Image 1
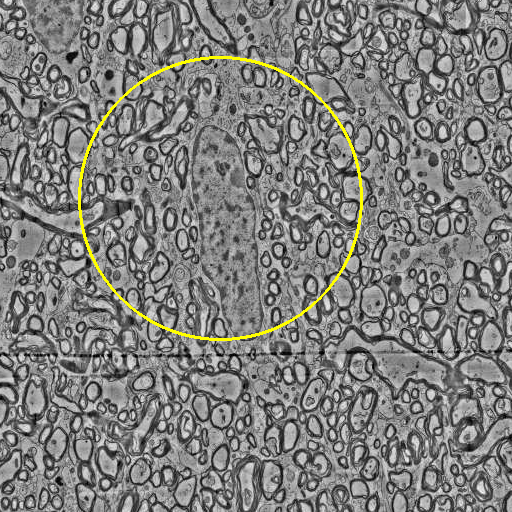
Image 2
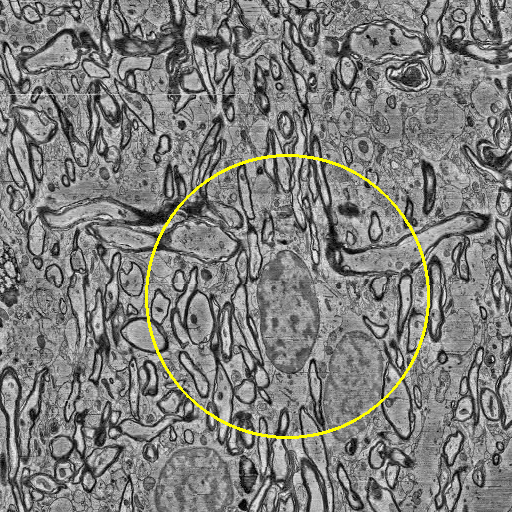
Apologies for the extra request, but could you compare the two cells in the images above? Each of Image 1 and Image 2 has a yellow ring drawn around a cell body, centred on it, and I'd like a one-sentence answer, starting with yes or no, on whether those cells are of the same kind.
Yes, both cells are of the same kind.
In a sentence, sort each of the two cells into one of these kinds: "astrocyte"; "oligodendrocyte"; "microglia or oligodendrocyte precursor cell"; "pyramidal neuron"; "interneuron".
Both the first and the second picture show a microglial cell or oligodendrocyte precursor cell in the ring.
